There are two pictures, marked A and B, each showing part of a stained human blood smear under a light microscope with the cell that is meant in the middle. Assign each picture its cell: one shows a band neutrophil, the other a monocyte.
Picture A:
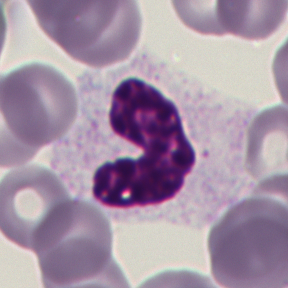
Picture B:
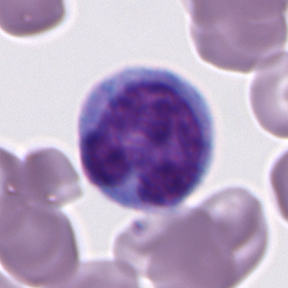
A: band neutrophil
B: monocyte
